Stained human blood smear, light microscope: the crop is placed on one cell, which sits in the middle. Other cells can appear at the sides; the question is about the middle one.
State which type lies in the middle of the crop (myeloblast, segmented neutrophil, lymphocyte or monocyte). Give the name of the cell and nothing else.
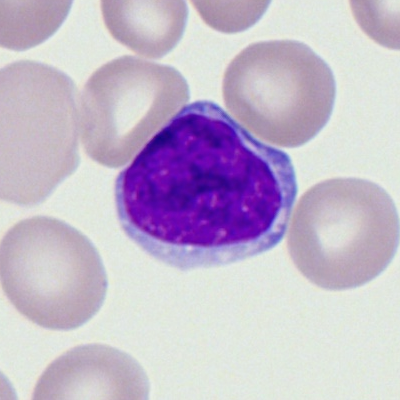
lymphocyte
